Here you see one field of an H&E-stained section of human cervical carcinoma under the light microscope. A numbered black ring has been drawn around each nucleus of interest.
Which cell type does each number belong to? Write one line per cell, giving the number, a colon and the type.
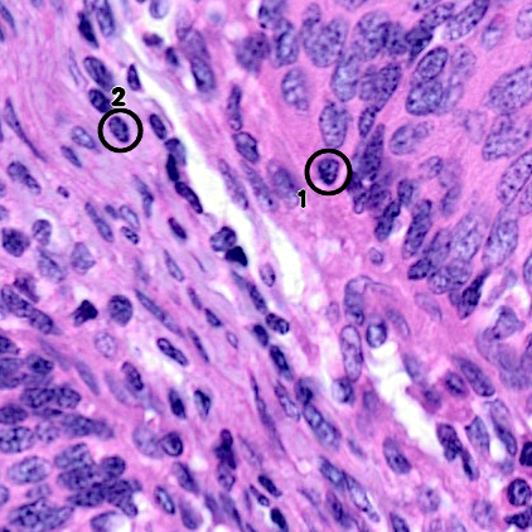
1: squamous carcinoma cell
2: lymphocyte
